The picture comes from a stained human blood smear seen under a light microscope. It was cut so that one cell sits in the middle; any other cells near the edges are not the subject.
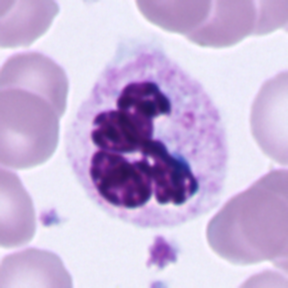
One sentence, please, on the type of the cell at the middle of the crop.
The cell in the middle of this crop is a segmented neutrophil.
